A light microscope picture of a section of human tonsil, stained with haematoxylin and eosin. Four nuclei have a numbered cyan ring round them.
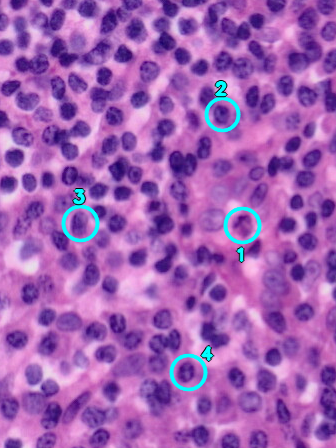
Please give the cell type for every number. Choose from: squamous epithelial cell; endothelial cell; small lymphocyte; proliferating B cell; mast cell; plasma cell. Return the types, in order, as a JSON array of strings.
["endothelial cell", "plasma cell", "plasma cell", "plasma cell"]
